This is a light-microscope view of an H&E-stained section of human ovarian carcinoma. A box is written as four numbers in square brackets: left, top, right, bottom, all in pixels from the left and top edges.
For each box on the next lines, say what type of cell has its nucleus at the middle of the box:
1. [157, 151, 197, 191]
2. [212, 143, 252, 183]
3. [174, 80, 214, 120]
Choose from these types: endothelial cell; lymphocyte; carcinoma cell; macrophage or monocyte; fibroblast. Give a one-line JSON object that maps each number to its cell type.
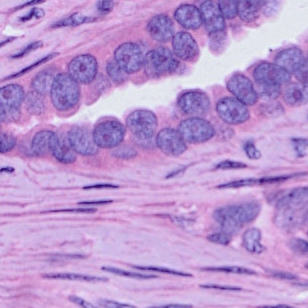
{"1": "fibroblast", "2": "fibroblast", "3": "carcinoma cell"}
